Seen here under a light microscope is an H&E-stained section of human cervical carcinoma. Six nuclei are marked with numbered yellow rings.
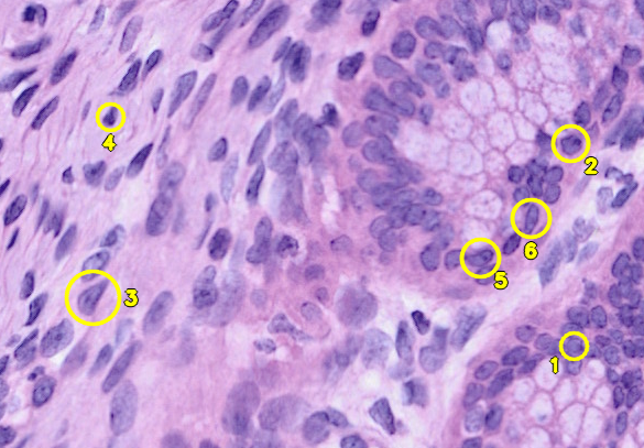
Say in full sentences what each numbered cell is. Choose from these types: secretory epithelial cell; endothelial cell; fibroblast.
Cell 1 is a secretory epithelial cell, cell 2 is a secretory epithelial cell, cell 3 is an endothelial cell, cell 4 is a fibroblast, cell 5 is a secretory epithelial cell and cell 6 is a secretory epithelial cell.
